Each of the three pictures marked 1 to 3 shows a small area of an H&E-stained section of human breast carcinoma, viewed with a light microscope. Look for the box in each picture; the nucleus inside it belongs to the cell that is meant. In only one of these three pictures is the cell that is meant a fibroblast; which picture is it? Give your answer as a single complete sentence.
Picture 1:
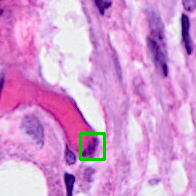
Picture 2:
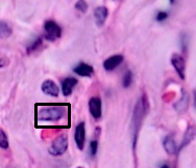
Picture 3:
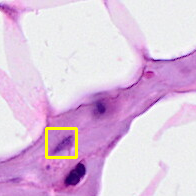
The fibroblast is the one in picture 3.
